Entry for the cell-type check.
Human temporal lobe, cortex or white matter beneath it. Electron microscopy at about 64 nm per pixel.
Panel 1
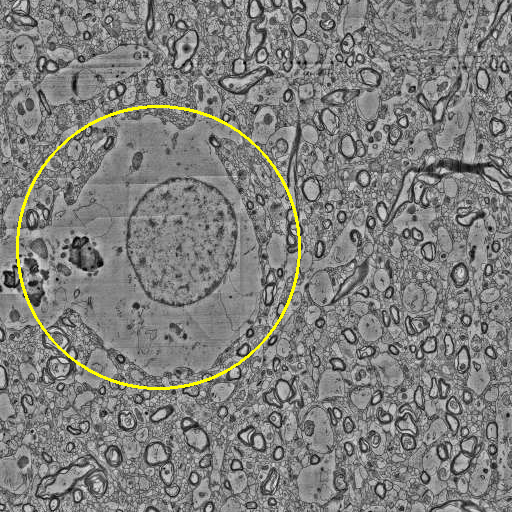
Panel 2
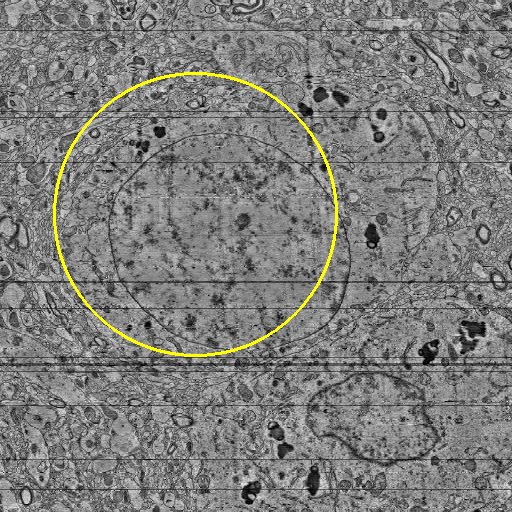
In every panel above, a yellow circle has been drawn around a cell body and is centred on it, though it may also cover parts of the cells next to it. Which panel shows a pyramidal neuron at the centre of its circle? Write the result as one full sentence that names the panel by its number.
Panel 2 shows it at the centre of its circle.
